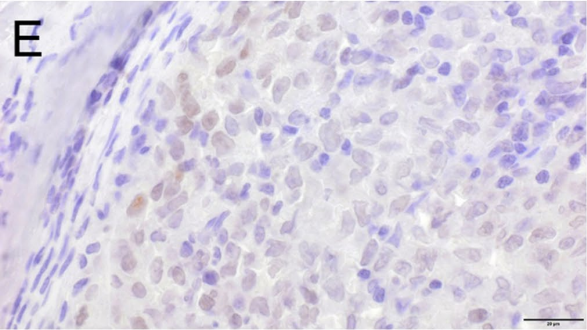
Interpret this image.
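A densely packed sheet of tumour cells fills most of the field, with a band of pale fibrous tissue along the left edge. Within and beside this band lie flattened, elongated cells with dark blue, spindle-shaped nuclei arranged in parallel. The tumour cells have oval to irregular nuclei with fine chromatin and scant cytoplasm, crowded closely together. A number of tumour nuclei, especially near the fibrous band, carry a faint to moderate brown tint, while many others are blue only.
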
